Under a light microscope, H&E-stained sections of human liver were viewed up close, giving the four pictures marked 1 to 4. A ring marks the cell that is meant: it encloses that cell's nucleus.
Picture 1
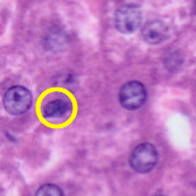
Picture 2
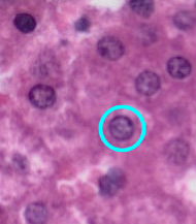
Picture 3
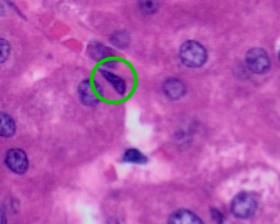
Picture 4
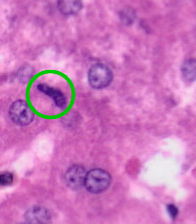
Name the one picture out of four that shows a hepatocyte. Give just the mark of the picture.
2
